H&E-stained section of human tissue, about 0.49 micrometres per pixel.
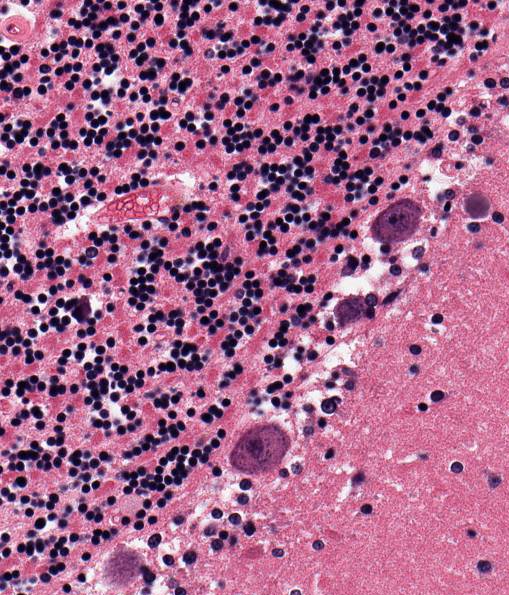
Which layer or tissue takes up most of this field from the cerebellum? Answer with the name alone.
granular layer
